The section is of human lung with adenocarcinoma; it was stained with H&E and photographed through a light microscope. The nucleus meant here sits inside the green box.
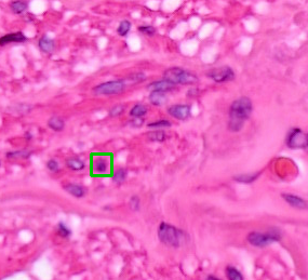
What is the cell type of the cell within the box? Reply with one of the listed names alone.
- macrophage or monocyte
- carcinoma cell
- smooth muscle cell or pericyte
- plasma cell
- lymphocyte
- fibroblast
smooth muscle cell or pericyte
